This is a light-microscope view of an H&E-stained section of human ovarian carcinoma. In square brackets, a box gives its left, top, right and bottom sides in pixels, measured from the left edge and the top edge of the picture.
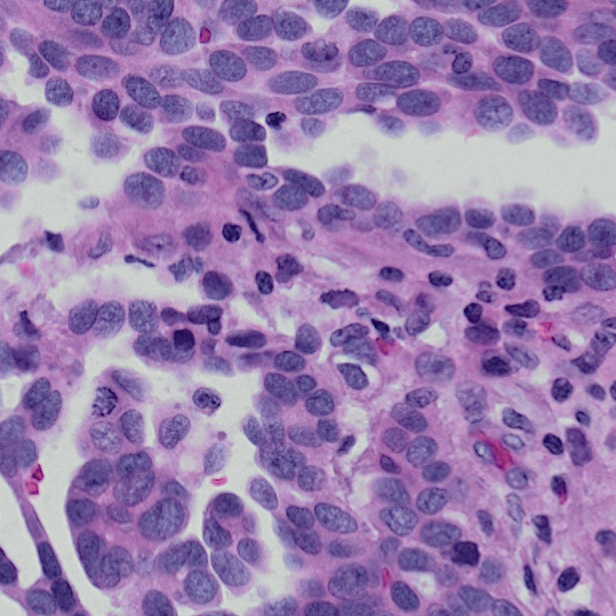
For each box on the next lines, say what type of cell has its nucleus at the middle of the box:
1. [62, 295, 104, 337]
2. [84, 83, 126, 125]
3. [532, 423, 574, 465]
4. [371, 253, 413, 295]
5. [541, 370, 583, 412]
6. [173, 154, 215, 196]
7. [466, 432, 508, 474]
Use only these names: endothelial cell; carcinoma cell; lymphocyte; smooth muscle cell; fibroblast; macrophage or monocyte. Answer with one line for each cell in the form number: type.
1: carcinoma cell
2: carcinoma cell
3: lymphocyte
4: lymphocyte
5: lymphocyte
6: macrophage or monocyte
7: endothelial cell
